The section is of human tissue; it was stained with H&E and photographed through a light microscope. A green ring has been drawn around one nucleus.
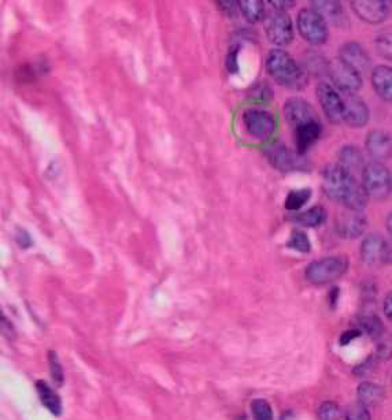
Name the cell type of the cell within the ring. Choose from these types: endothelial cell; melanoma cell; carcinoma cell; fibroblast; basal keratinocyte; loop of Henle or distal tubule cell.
basal keratinocyte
